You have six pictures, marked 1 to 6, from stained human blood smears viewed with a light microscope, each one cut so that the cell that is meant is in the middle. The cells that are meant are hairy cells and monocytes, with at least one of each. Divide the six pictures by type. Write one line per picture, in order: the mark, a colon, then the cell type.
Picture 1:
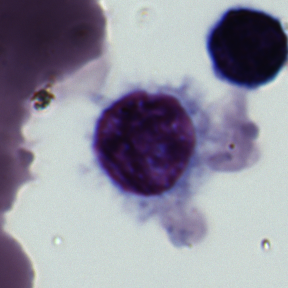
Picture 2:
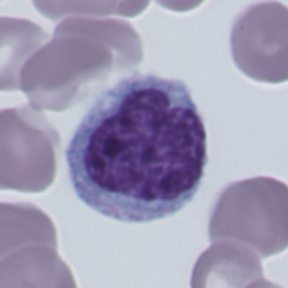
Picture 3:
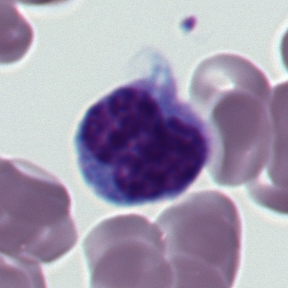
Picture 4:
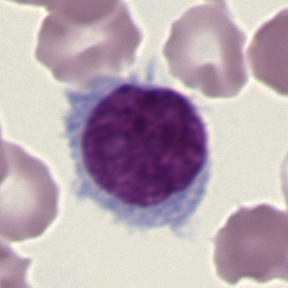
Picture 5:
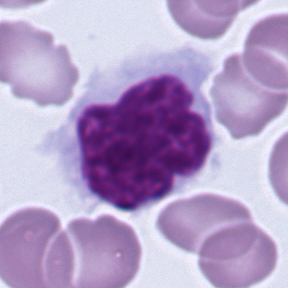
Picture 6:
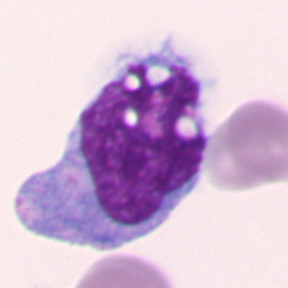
1: hairy cell
2: monocyte
3: monocyte
4: hairy cell
5: hairy cell
6: monocyte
